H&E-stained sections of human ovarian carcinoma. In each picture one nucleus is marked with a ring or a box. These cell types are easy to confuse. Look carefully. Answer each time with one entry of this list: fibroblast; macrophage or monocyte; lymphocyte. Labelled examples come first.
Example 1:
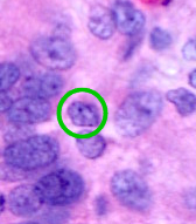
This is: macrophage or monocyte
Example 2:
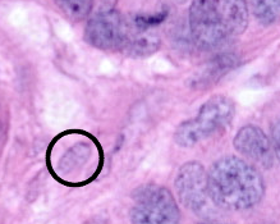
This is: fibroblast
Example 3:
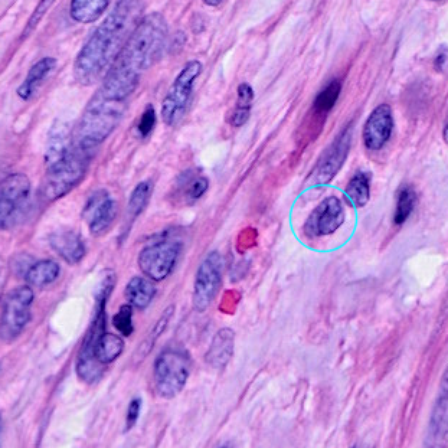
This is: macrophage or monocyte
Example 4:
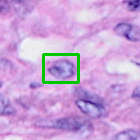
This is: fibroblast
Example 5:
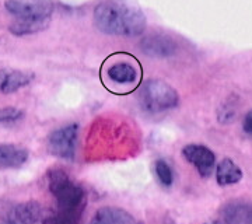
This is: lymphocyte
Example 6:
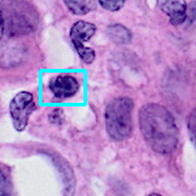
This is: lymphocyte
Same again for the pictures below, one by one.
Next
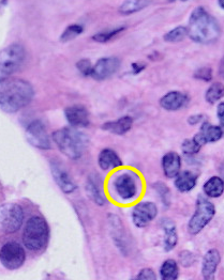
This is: lymphocyte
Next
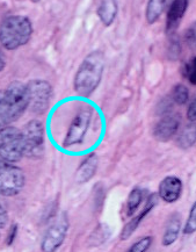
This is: fibroblast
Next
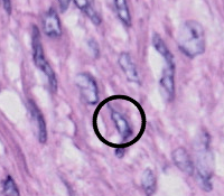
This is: fibroblast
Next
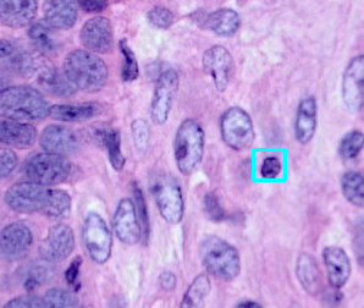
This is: lymphocyte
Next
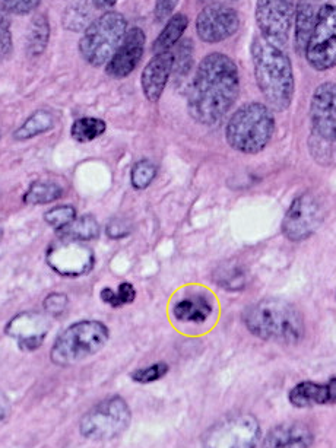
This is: lymphocyte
